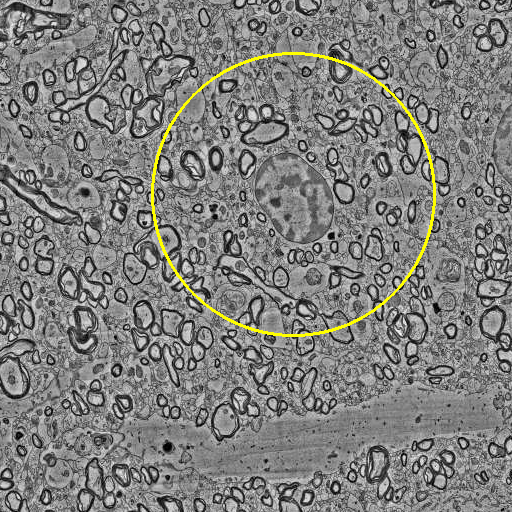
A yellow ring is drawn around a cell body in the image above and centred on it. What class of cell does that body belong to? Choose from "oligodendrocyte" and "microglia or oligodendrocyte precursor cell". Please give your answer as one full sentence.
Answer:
The yellow ring above is centred on the cell body of a microglial cell or oligodendrocyte precursor cell.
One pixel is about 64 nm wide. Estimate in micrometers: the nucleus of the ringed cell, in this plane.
The nucleus has a long axis of about 6 micrometres and a short axis of about 4 micrometres in this plane.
